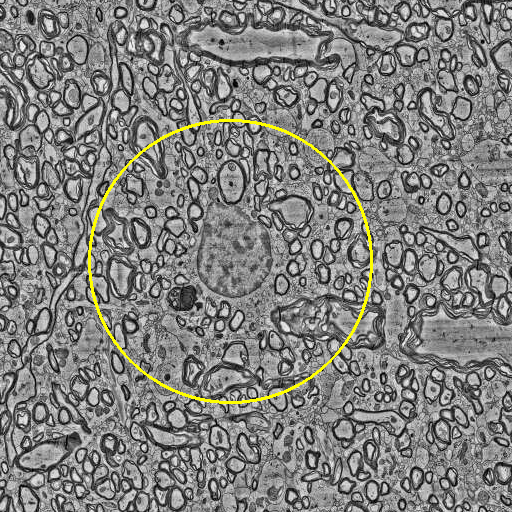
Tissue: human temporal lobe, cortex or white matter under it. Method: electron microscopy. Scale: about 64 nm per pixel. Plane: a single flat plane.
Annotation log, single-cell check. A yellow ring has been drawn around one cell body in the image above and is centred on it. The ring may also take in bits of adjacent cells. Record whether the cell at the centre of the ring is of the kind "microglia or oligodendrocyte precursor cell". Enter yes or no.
no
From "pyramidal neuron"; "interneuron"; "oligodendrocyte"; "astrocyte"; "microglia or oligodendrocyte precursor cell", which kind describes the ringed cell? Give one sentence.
What the ring encloses here is an oligodendrocyte.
